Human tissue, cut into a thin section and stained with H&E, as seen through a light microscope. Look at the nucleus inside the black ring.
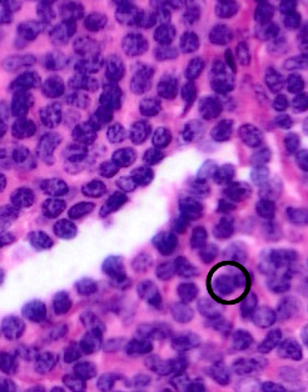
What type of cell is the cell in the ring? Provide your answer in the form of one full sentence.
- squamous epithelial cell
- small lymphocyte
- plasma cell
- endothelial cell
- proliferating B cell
Among the cells in this section, the cell in the ring is a small lymphocyte.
